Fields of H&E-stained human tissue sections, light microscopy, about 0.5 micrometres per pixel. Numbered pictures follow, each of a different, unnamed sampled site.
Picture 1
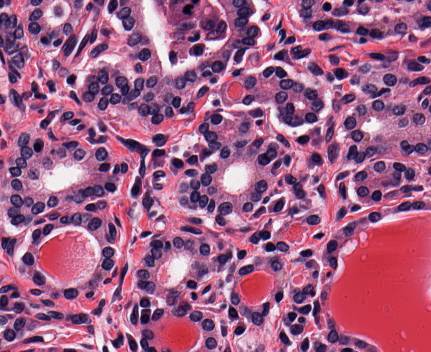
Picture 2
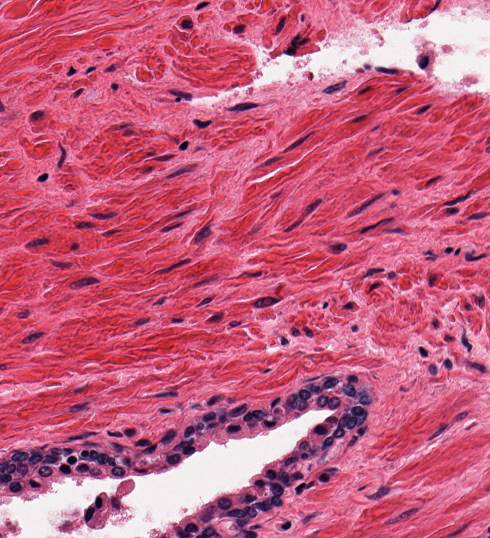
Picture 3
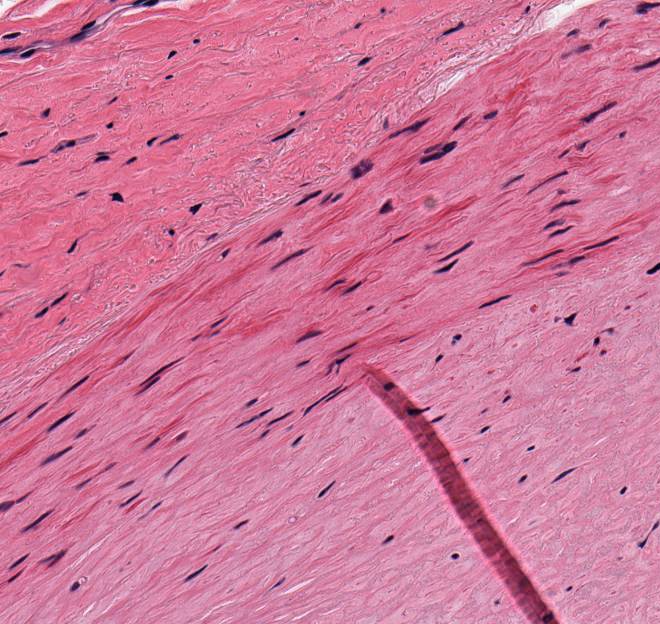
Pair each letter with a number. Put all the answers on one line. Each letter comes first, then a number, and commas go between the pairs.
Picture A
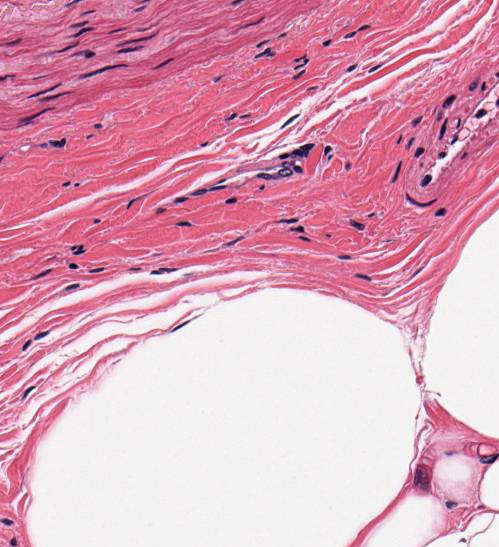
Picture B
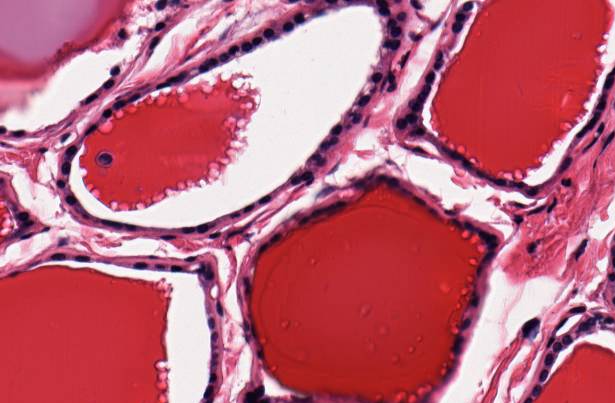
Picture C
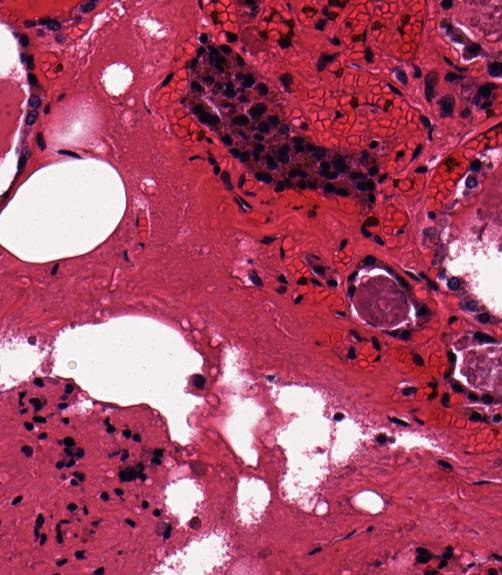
A 3, B 1, C 1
